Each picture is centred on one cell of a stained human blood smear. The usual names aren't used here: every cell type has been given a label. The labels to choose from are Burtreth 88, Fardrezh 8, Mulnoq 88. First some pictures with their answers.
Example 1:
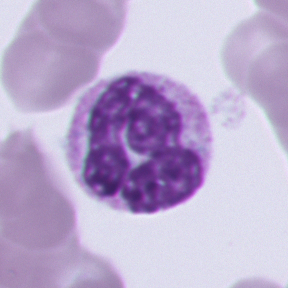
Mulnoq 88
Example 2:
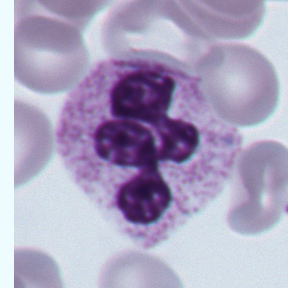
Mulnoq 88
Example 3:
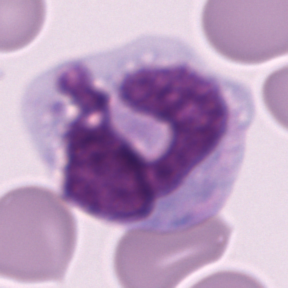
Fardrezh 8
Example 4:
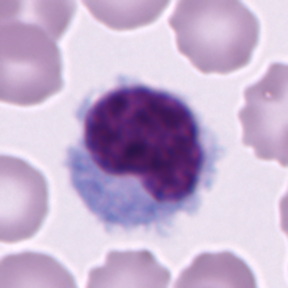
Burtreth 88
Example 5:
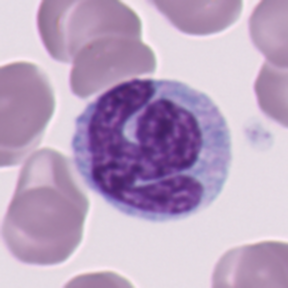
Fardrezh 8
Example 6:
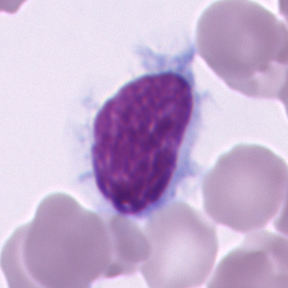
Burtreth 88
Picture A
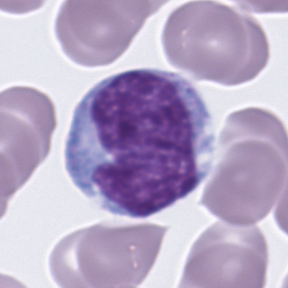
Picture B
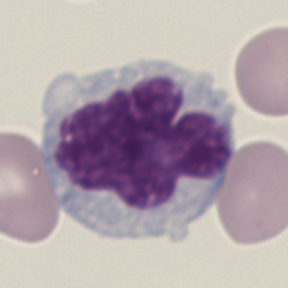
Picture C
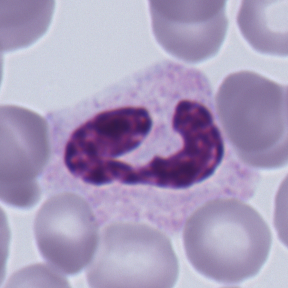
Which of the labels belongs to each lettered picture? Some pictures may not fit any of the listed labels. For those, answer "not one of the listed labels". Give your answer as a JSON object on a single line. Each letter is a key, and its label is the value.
{"A": "Fardrezh 8", "B": "Fardrezh 8", "C": "Mulnoq 88"}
